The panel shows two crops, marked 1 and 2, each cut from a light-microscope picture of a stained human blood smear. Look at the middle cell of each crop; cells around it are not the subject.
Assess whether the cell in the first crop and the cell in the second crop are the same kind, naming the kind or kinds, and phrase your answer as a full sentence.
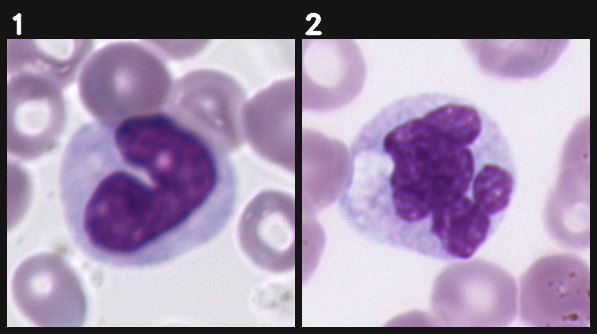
No, crop 1 is home to a band neutrophil, and crop 2 to a monocyte.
